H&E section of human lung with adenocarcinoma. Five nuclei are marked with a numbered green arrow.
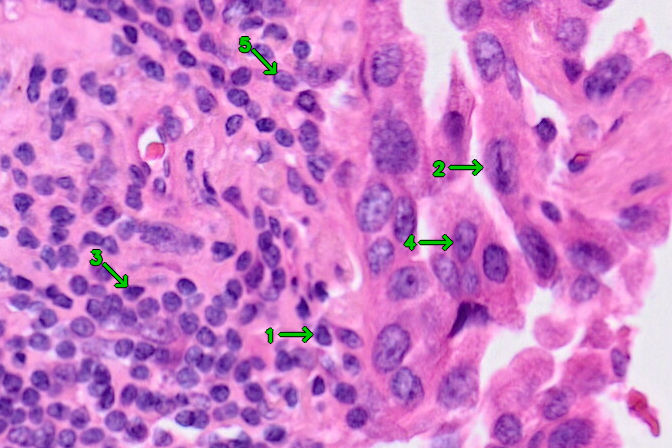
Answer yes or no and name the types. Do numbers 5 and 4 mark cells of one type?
No, cell 5 is a lymphocyte and cell 4 is a carcinoma cell.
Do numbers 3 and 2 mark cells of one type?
No, cell 3 is a lymphocyte and cell 2 is a carcinoma cell.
